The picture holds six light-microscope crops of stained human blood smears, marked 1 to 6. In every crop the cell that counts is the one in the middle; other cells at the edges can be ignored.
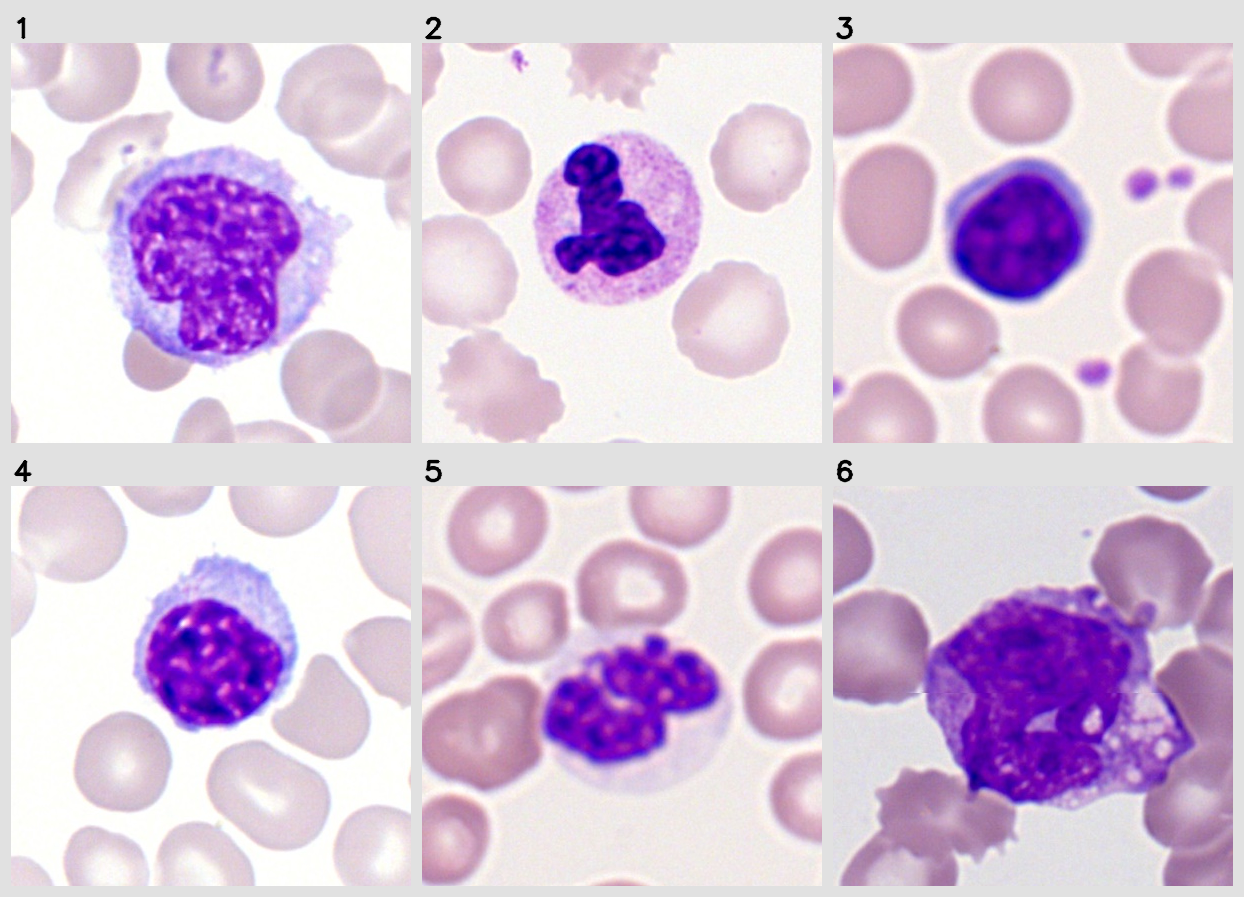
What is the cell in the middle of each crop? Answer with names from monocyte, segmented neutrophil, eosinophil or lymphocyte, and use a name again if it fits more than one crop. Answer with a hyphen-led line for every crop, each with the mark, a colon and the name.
- 1: monocyte
- 2: segmented neutrophil
- 3: lymphocyte
- 4: lymphocyte
- 5: segmented neutrophil
- 6: monocyte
